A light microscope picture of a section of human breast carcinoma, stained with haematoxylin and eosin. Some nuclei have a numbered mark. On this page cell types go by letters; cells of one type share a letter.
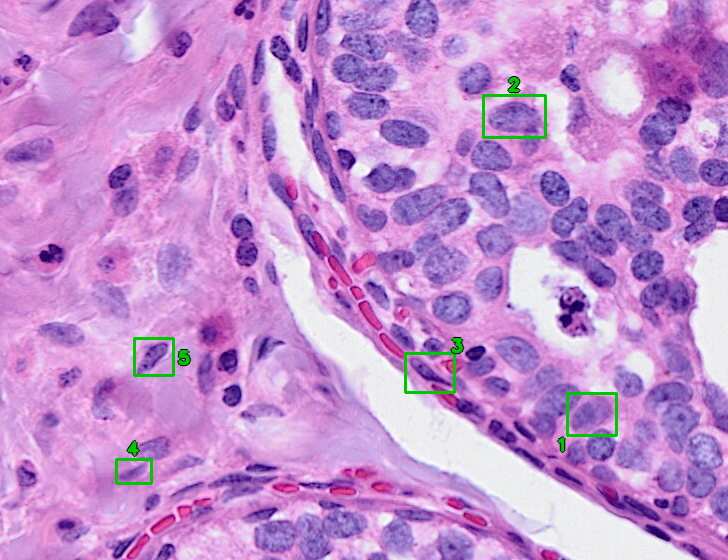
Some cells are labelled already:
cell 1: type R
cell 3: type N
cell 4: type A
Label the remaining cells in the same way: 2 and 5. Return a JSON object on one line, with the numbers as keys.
{"2": "type R", "5": "type A"}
